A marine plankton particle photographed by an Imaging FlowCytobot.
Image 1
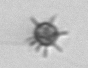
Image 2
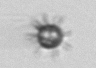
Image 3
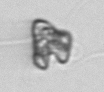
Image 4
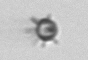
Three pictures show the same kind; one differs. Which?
Picture 3: Pyramimonas, while the others are Rhabdosphaera.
